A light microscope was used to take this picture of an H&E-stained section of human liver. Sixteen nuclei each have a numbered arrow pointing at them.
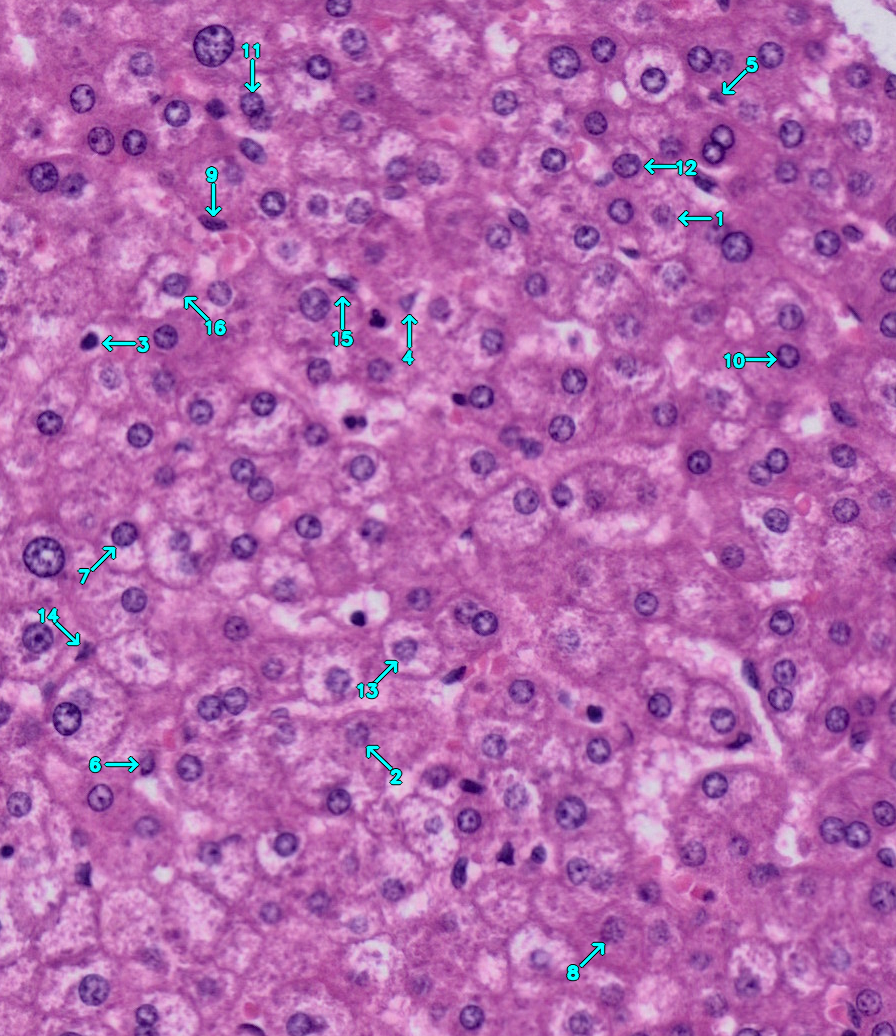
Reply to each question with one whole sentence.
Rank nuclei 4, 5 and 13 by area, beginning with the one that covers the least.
By area, going up from the smallest, they rank 5, 4, 13.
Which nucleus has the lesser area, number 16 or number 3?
With nucleus 16 about 1.5 times its size, nucleus 3 is the smaller of the two.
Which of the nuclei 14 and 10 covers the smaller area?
Number 14 is smaller, since number 10 takes up about 1.5 times as much area.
